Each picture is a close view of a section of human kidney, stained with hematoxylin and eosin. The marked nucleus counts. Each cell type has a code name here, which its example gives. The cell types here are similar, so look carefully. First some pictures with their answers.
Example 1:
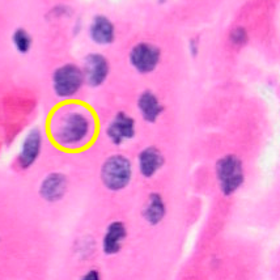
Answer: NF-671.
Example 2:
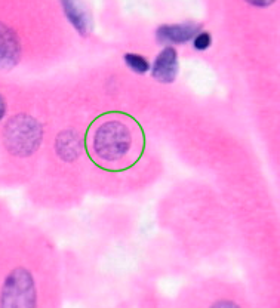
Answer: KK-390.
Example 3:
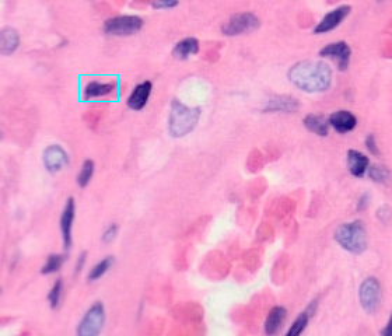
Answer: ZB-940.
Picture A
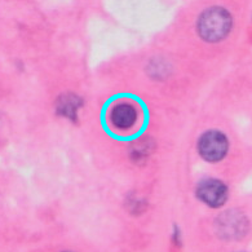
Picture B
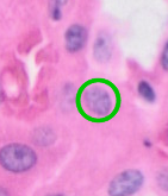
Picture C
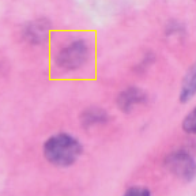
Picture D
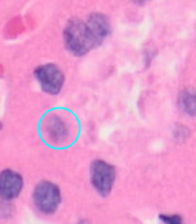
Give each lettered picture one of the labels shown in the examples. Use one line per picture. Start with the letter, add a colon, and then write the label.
A: KK-390.
B: NF-671.
C: KK-390.
D: NF-671.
